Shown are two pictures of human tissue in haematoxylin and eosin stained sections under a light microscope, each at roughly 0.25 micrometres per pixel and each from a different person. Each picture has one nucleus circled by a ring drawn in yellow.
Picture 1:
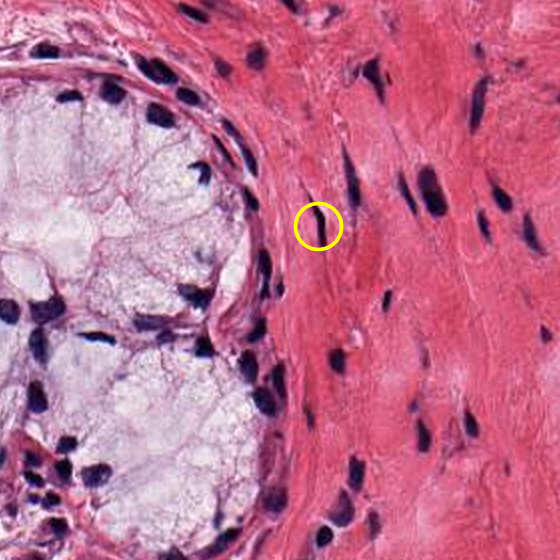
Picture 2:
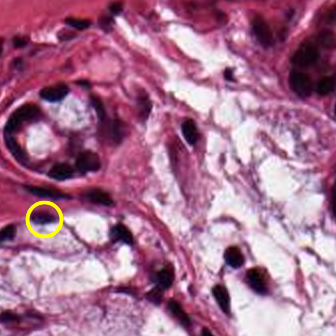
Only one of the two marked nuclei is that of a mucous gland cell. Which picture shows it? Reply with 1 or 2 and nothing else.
2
